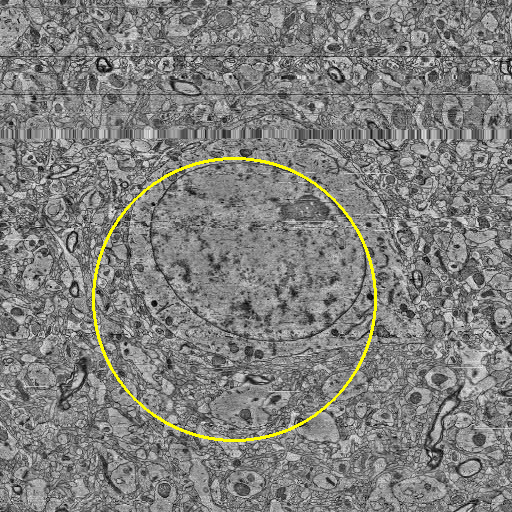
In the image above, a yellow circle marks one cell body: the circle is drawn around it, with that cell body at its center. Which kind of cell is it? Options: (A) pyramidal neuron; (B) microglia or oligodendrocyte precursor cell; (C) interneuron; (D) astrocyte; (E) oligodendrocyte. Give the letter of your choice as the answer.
A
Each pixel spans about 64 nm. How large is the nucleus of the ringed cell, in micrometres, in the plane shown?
Roughly 14 by 11 micrometres is the size of the nucleus in this plane.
